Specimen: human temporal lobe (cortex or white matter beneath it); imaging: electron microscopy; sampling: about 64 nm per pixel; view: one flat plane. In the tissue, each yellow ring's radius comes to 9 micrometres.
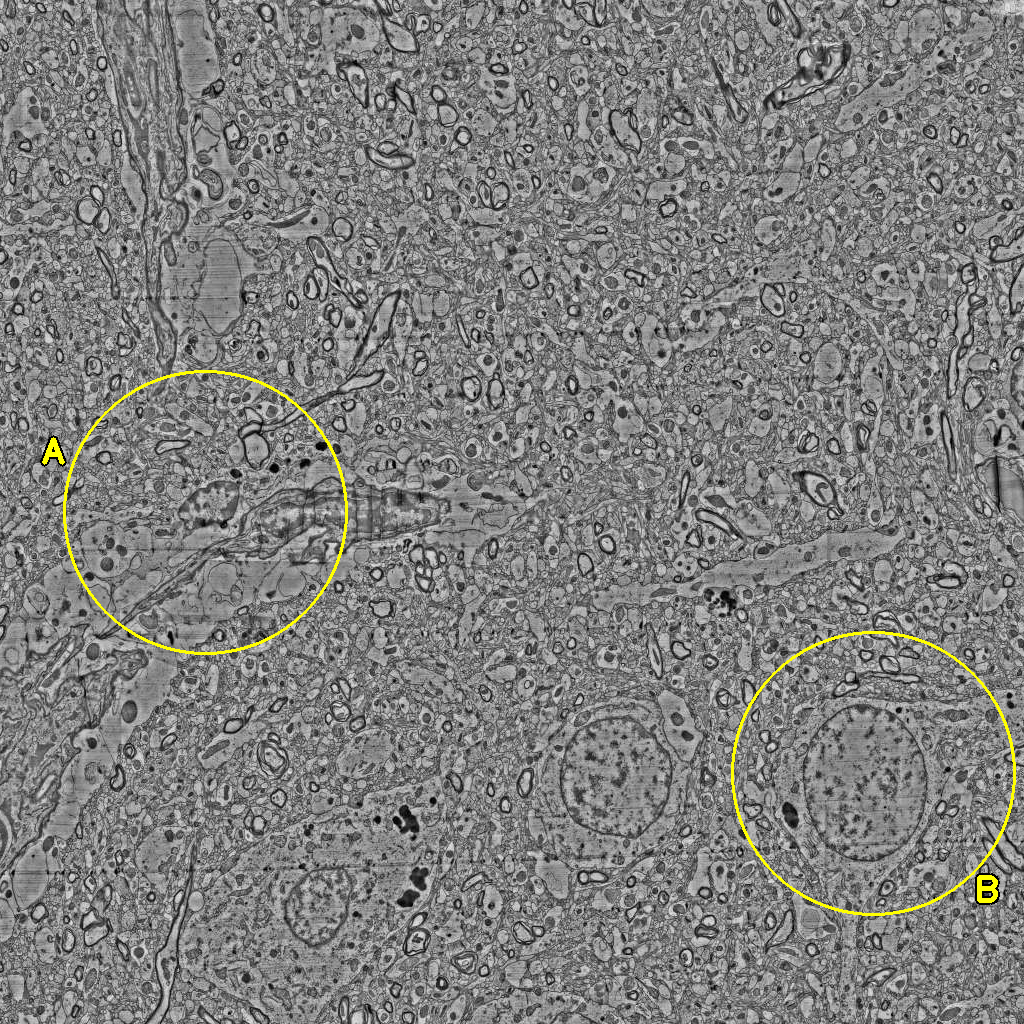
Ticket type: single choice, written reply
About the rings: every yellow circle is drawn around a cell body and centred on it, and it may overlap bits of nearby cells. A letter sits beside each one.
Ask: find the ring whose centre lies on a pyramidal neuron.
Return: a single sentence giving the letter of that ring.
At the centre of the ring marked B lies the cell asked for.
